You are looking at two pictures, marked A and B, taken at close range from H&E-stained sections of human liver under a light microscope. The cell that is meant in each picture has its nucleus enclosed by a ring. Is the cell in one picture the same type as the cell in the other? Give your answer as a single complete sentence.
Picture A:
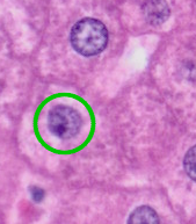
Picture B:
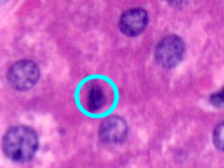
No, they differ: the cell is a hepatocyte in picture A and a “fibroblast or stellate cell” in picture B.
